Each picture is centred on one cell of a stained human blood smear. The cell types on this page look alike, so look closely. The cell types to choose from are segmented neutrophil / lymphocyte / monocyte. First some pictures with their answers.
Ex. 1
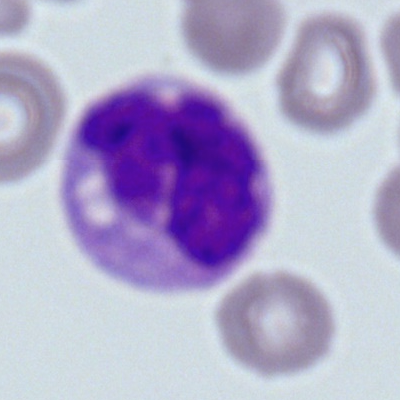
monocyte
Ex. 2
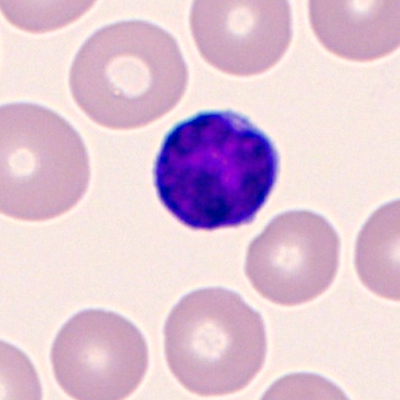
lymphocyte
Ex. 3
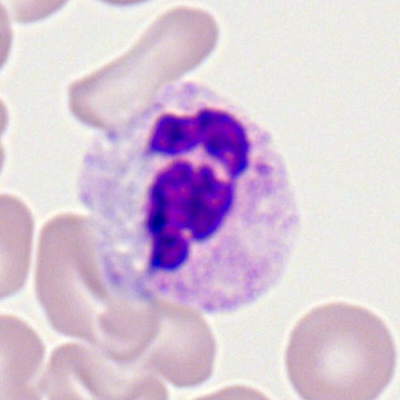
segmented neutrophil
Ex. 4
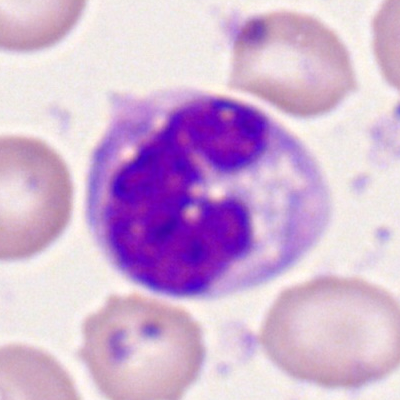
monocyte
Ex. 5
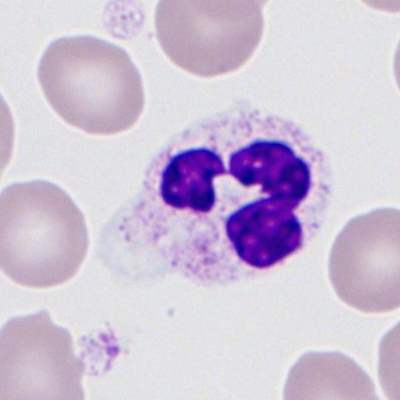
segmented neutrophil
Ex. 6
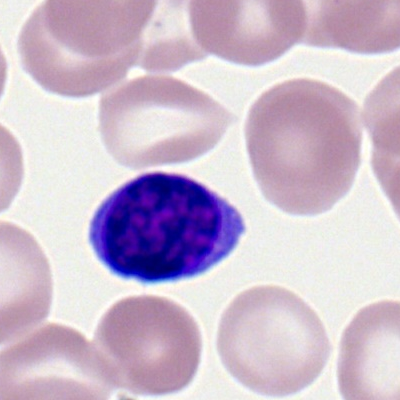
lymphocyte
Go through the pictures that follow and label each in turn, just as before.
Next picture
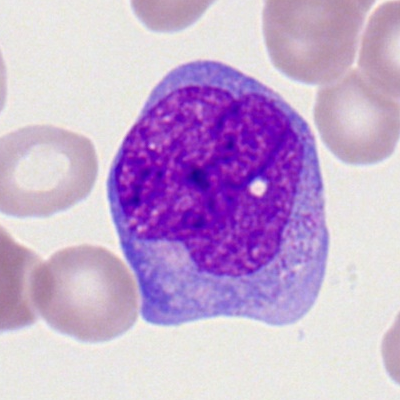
monocyte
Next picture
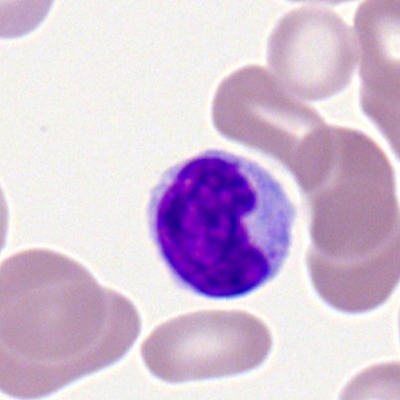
lymphocyte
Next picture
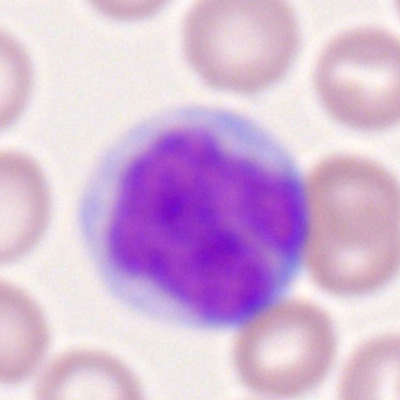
monocyte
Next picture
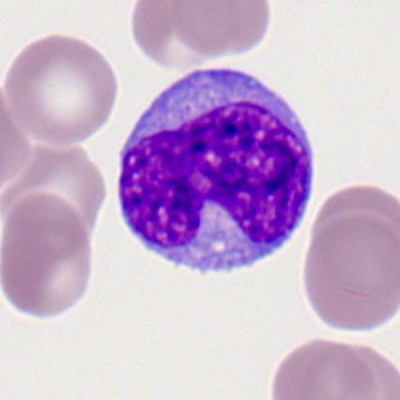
monocyte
